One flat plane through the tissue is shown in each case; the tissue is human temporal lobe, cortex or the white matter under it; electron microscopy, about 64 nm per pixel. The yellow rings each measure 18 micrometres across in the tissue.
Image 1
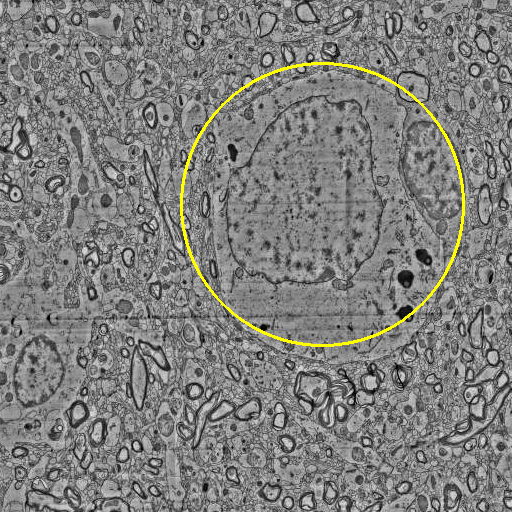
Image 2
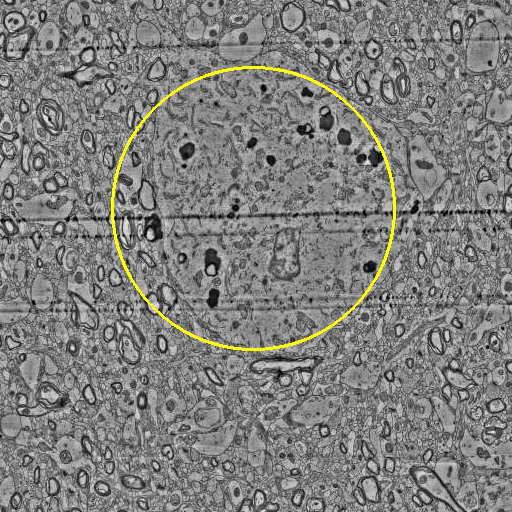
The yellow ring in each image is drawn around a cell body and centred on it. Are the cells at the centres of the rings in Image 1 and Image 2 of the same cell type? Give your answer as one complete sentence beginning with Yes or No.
Yes, both cells are of the same type.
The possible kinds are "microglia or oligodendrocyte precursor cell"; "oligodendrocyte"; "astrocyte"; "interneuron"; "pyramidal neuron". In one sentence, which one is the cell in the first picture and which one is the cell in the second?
In each picture the ringed cell is a pyramidal neuron.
